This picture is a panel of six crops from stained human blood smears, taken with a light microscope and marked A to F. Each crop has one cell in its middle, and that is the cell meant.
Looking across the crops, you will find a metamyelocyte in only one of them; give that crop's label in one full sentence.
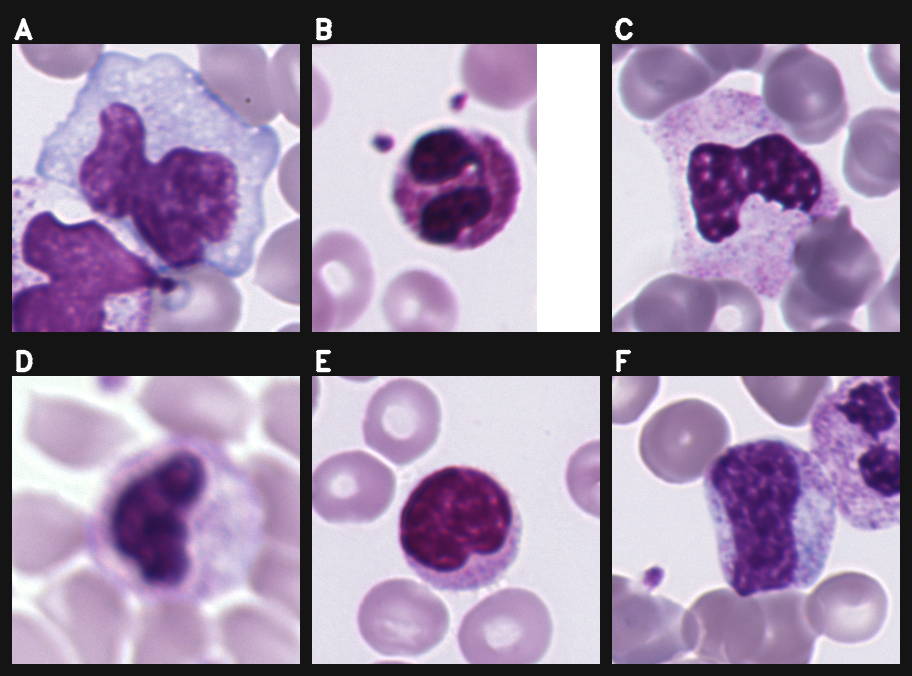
The cell identified as a metamyelocyte is the one in crop F.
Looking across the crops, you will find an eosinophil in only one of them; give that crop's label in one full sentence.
The crop in which an eosinophil is shown is crop B.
